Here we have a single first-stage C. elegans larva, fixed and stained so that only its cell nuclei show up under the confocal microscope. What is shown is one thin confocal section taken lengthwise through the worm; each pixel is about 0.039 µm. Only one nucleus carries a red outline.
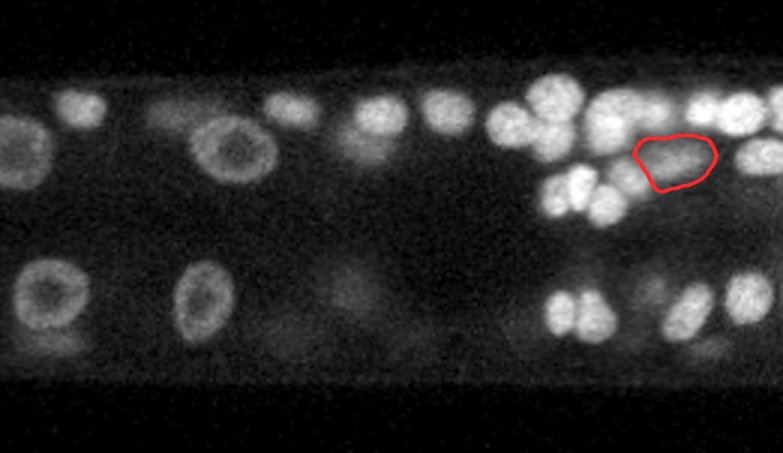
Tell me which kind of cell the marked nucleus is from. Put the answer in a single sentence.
The marked nucleus belongs to a pharyngeal marginal cell.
